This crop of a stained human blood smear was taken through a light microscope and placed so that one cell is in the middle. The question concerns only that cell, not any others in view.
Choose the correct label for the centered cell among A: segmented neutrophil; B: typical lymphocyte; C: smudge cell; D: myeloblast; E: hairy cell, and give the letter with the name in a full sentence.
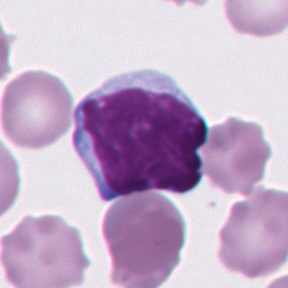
What sits in the middle of the crop is a typical lymphocyte, and option B is correct.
